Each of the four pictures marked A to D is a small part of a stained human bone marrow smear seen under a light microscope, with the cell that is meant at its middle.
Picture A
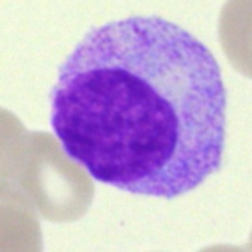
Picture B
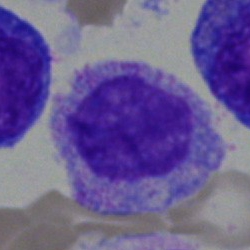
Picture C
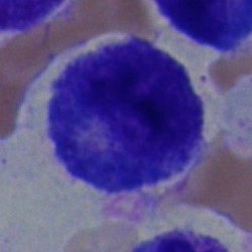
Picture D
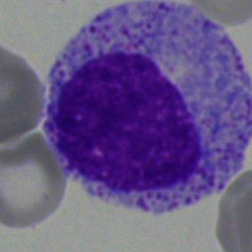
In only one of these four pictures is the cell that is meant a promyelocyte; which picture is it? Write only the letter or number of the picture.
C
